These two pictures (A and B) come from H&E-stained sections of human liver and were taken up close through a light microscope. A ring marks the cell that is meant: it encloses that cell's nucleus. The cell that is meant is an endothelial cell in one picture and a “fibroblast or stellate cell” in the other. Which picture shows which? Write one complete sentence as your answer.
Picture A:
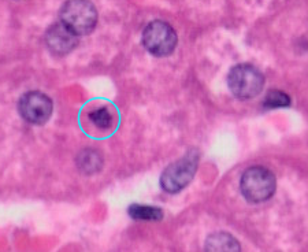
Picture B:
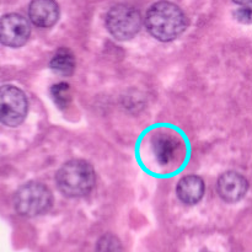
In picture A the cell is a “fibroblast or stellate cell”; in picture B, an endothelial cell.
